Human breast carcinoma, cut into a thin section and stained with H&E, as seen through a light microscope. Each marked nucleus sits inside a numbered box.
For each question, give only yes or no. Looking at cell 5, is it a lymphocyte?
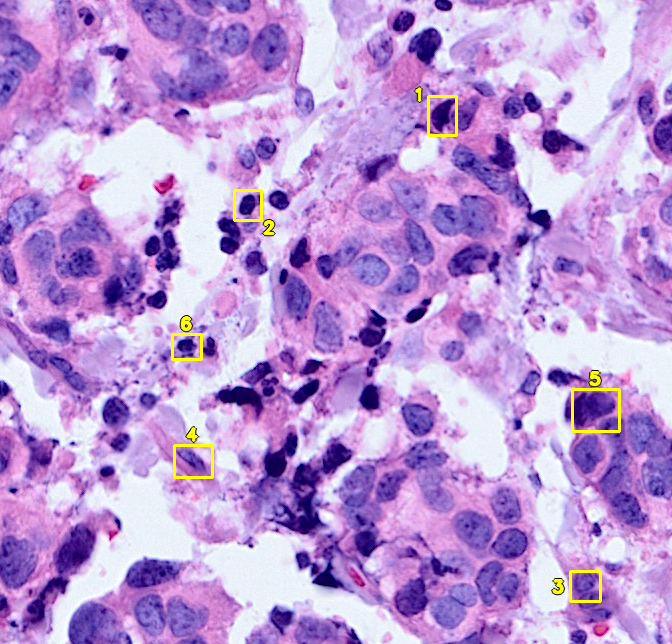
no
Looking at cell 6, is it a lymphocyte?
yes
